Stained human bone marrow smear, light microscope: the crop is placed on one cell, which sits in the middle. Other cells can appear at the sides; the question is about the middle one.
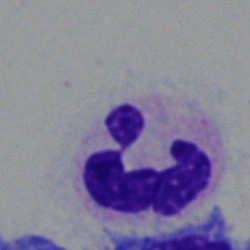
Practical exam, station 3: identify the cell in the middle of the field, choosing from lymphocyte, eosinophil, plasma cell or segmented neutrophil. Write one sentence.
The target cell in the middle of the crop is a segmented neutrophil.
